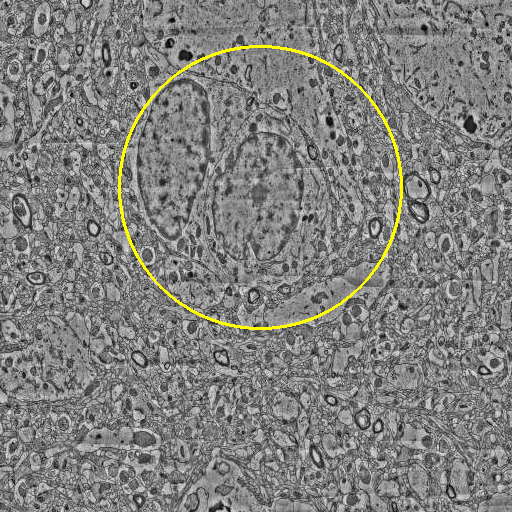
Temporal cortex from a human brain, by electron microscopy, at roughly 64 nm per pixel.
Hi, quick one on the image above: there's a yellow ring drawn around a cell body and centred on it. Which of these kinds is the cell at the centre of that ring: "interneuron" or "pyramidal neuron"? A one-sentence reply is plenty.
The cell at the centre of the ring is an interneuron.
